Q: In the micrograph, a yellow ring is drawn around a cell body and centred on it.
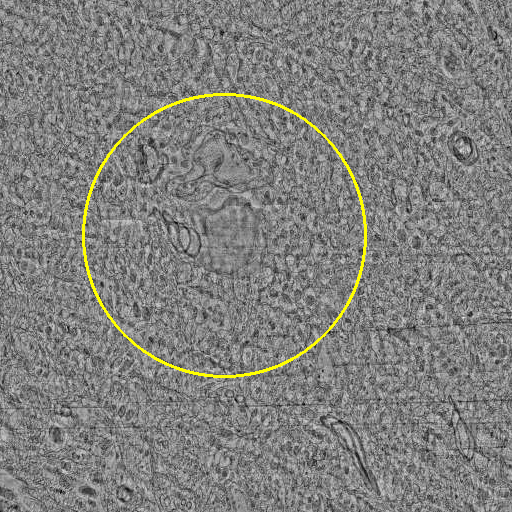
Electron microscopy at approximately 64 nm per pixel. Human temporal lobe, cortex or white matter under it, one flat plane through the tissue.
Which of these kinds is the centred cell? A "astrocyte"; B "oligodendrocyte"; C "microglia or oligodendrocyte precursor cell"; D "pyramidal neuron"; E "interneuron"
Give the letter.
B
